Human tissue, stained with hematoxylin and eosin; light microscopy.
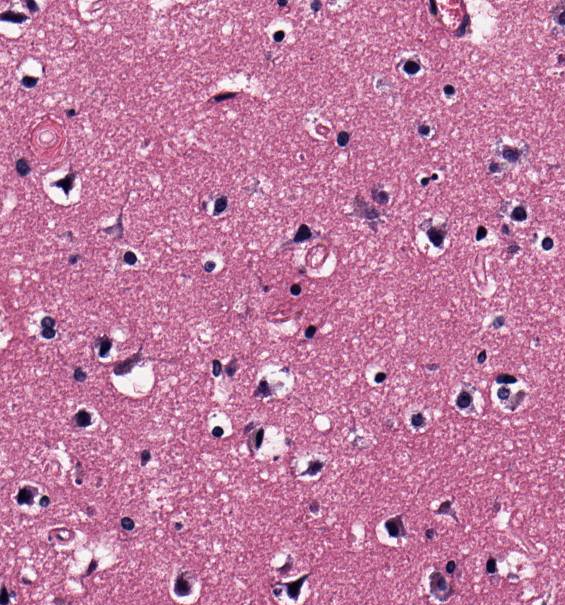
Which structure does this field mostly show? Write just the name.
cerebral cortex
